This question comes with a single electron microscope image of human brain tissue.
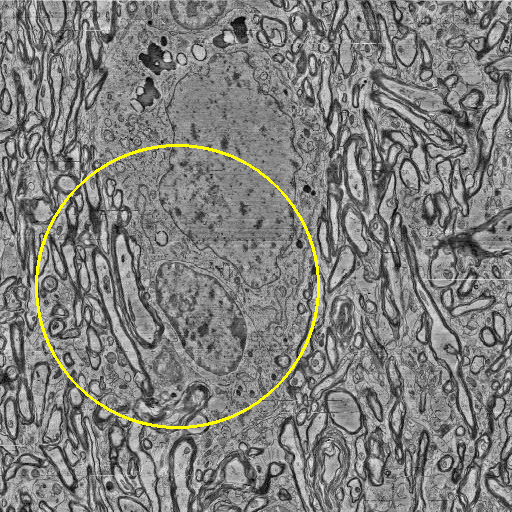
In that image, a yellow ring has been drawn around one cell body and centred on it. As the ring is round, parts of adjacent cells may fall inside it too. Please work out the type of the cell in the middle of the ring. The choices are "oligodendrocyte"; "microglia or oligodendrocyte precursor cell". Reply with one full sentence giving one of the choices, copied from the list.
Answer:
Of the choices, a microglial cell or oligodendrocyte precursor cell is the cell sitting in the middle of the ring.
